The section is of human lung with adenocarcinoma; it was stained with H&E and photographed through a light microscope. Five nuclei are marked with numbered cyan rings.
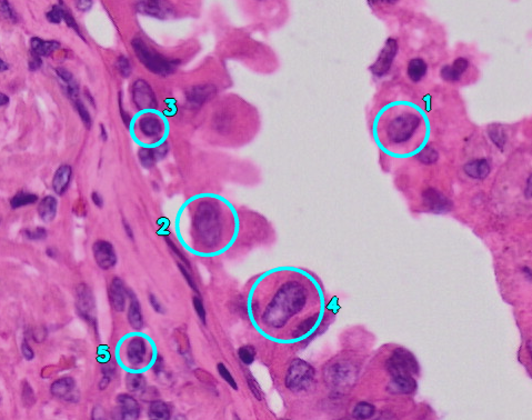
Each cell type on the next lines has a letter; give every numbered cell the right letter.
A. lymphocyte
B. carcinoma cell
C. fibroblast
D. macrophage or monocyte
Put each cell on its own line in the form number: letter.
1: D
2: B
3: A
4: B
5: A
